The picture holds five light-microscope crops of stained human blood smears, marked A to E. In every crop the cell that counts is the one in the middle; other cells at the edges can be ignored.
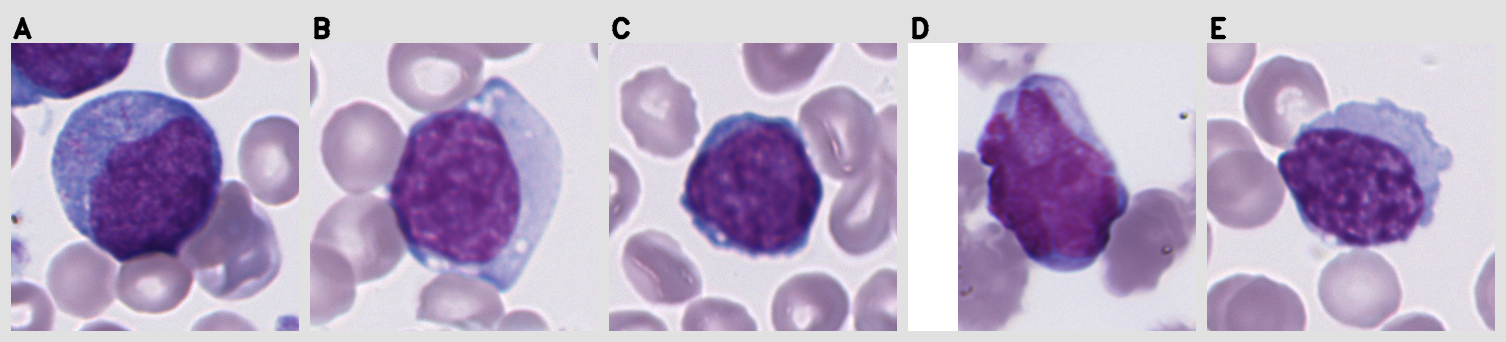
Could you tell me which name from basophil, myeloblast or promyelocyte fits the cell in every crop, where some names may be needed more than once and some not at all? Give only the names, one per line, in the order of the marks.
promyelocyte
myeloblast
myeloblast
myeloblast
myeloblast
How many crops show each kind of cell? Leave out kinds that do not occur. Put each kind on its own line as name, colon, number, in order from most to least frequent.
myeloblast: 4
promyelocyte: 1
